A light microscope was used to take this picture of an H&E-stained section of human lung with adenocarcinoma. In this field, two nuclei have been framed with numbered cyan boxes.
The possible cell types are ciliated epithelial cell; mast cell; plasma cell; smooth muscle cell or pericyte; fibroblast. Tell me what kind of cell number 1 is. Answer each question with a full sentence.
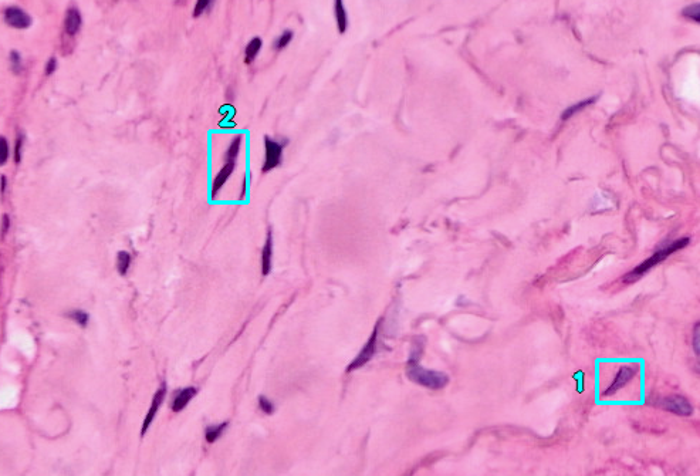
In this section, the cell tagged 1 is a smooth muscle cell or pericyte.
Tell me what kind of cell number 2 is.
The marked cell with the number 2 is recognised as a fibroblast.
